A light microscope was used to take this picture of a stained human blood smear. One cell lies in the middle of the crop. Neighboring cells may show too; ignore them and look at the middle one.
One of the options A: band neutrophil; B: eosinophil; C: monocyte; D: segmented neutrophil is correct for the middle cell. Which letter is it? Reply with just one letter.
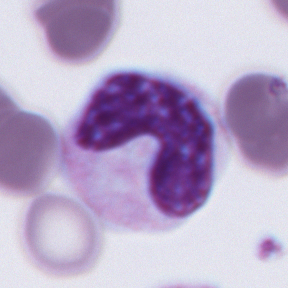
A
